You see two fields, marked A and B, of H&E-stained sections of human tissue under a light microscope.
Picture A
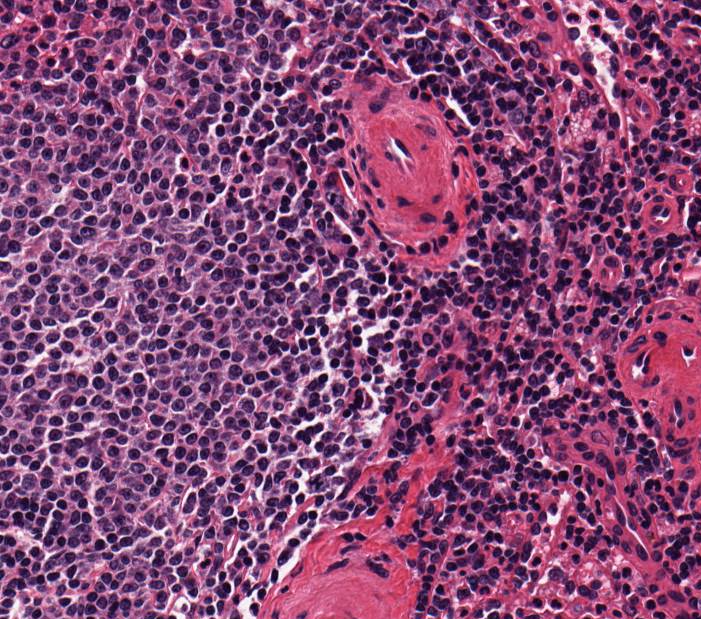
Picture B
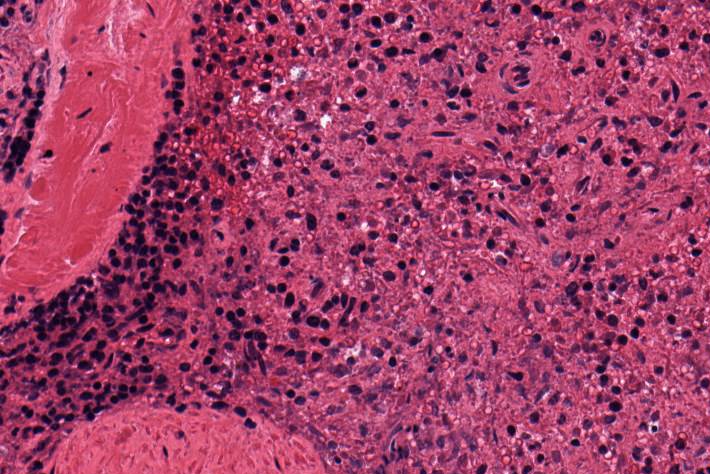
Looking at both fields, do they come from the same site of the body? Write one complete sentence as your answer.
Yes, both come from the spleen.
